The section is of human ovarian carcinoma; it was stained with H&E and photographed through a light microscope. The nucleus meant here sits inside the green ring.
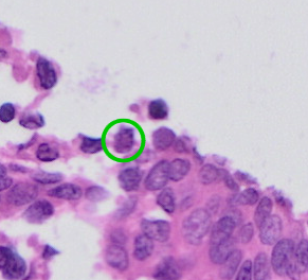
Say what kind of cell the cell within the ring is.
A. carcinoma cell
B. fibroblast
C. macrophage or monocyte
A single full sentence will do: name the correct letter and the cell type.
Under option A, the cell within the ring is a carcinoma cell, which is the correct identification.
